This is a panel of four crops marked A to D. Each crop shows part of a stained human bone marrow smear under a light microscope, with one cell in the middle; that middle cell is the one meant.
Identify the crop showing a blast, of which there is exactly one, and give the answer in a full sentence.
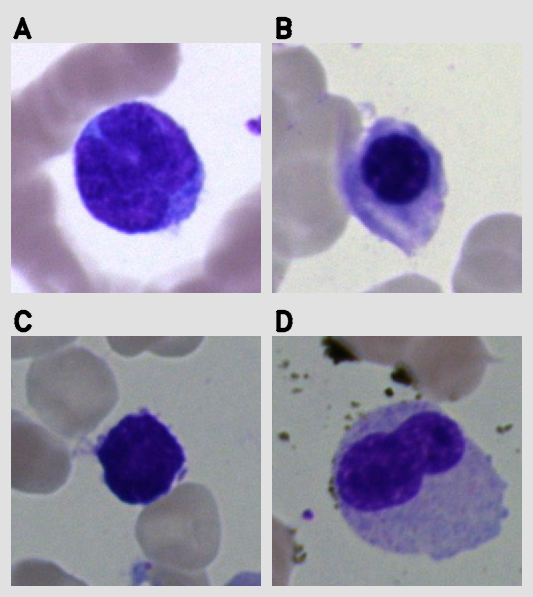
Of these crops, it is crop A that shows a blast.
